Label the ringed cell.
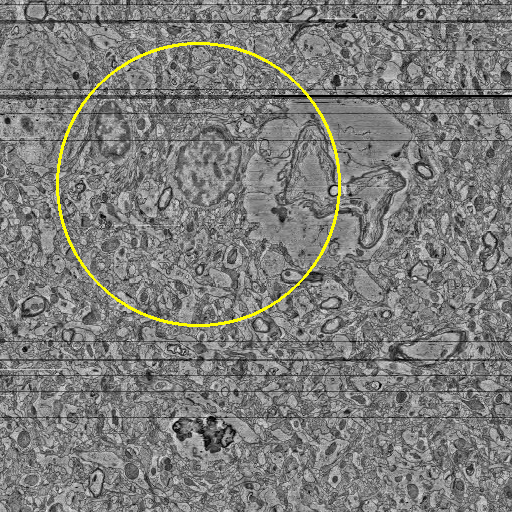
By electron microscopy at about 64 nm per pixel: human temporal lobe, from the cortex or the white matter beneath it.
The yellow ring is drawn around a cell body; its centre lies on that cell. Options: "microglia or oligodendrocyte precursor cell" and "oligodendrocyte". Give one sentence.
The ringed cell is an oligodendrocyte.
